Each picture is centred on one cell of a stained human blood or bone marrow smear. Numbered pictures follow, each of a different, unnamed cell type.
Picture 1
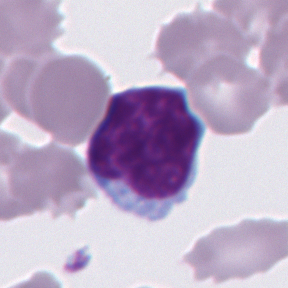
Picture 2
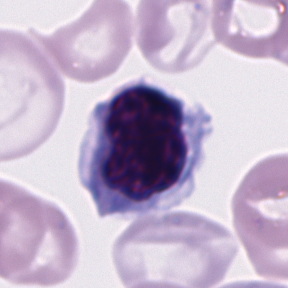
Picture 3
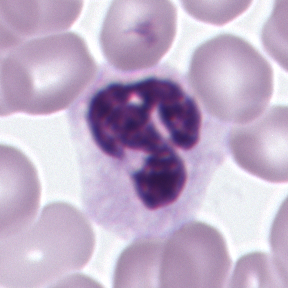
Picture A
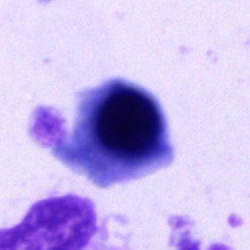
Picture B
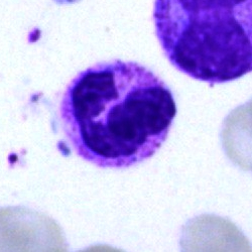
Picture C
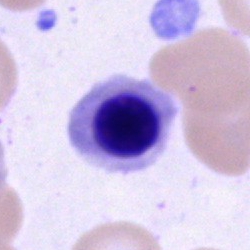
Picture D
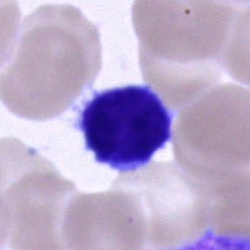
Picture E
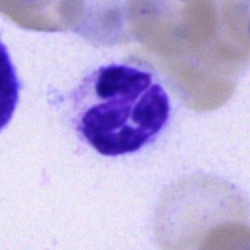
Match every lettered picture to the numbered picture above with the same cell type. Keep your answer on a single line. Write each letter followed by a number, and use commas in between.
A 2, B 3, C 2, D 1, E 3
